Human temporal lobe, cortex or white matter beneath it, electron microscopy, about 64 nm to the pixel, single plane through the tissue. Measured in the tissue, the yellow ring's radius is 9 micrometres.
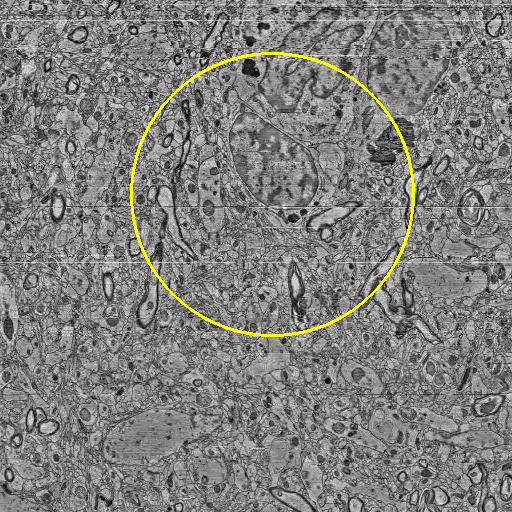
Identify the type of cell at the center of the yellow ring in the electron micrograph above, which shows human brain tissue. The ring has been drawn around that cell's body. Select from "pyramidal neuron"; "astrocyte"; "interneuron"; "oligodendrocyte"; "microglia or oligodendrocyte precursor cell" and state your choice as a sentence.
The yellow ring is centered on the body of a microglial cell or oligodendrocyte precursor cell.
